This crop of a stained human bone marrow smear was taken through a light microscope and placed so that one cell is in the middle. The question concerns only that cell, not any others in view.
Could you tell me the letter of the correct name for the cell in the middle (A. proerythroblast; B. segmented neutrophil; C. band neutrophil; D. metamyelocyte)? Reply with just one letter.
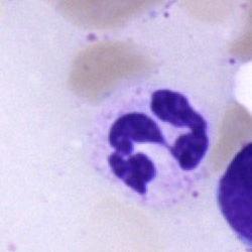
B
